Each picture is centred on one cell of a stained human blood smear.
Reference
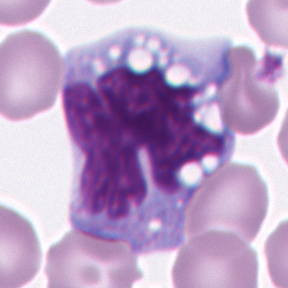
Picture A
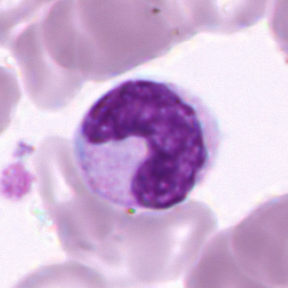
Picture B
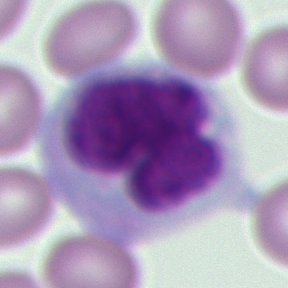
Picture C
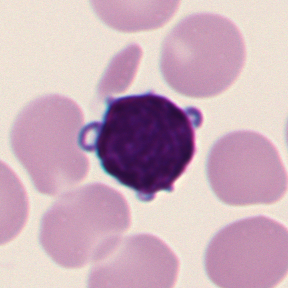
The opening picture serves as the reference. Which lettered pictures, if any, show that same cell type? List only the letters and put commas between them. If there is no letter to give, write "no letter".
B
